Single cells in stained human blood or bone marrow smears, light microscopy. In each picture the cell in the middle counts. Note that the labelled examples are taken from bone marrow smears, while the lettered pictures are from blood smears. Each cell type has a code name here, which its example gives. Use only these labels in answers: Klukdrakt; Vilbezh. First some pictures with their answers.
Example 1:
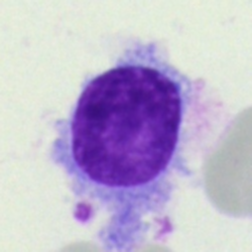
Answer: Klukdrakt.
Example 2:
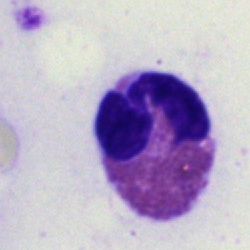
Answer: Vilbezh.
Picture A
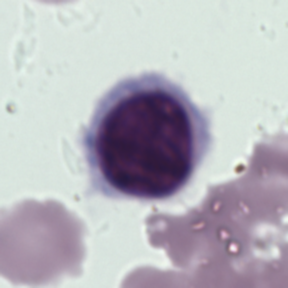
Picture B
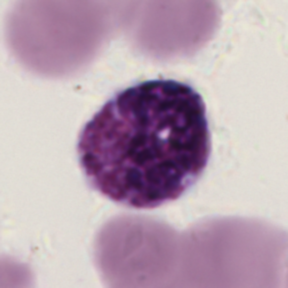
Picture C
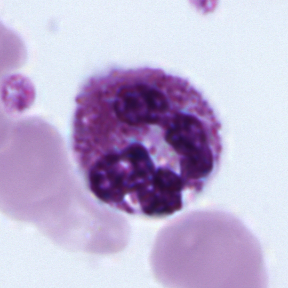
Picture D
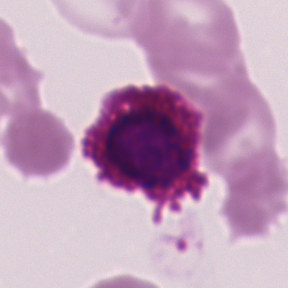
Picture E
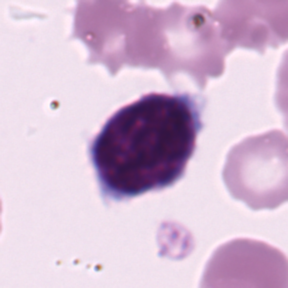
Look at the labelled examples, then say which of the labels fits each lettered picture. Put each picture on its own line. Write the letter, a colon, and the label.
A: Klukdrakt.
B: Vilbezh.
C: Vilbezh.
D: Vilbezh.
E: Klukdrakt.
